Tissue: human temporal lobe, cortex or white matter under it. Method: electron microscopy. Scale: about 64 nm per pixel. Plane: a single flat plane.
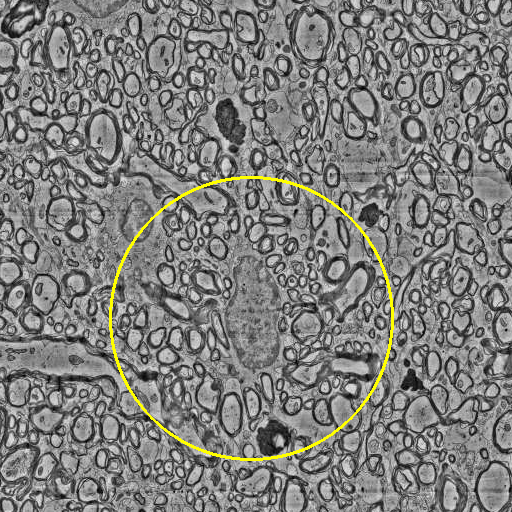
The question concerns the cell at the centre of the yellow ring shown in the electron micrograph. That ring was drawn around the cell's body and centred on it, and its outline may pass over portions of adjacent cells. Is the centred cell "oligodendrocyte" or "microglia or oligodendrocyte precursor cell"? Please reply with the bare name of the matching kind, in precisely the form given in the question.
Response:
oligodendrocyte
